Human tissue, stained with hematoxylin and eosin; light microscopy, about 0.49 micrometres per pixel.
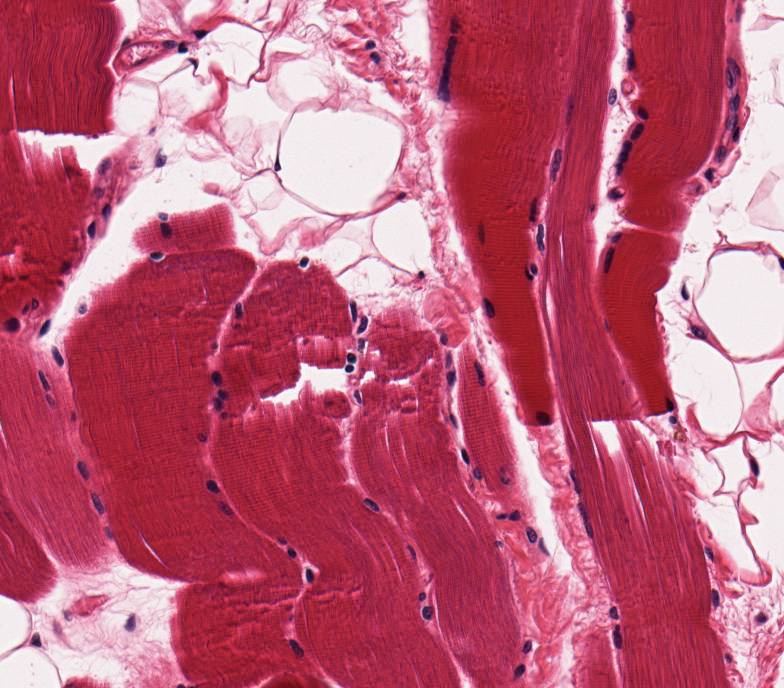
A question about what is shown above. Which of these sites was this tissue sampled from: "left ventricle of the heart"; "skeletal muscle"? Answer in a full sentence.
The site this tissue was sampled from is the skeletal muscle.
